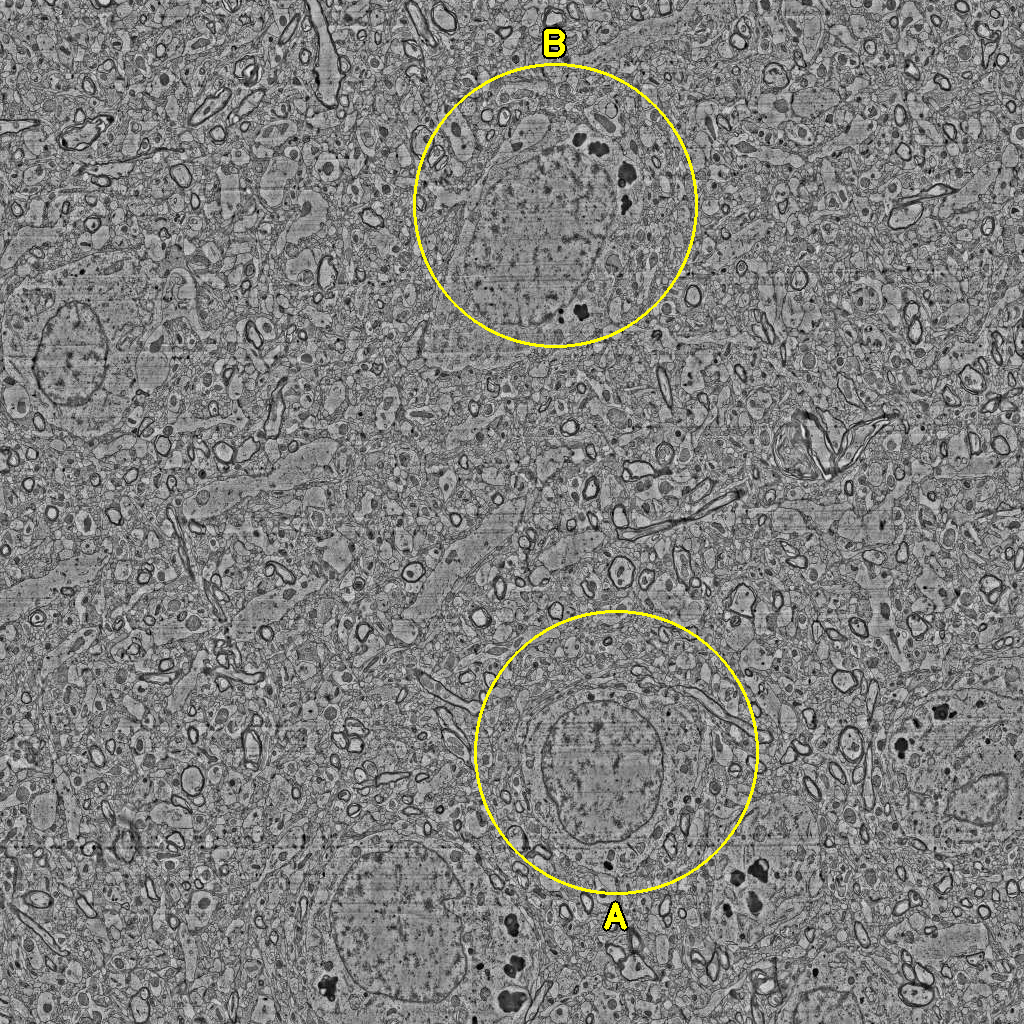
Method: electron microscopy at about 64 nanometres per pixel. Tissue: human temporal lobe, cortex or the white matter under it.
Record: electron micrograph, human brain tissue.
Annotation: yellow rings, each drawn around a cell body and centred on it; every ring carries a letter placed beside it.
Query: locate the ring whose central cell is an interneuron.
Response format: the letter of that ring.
B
